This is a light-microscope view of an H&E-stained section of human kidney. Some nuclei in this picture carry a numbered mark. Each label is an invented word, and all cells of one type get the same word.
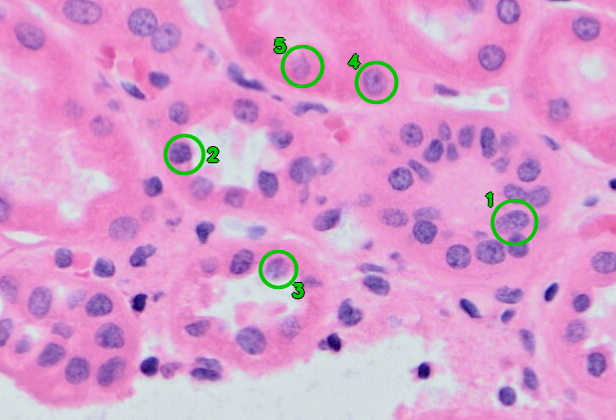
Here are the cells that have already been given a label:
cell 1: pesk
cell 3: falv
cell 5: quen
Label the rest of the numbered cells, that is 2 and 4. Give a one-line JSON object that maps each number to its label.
{"2": "falv", "4": "quen"}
